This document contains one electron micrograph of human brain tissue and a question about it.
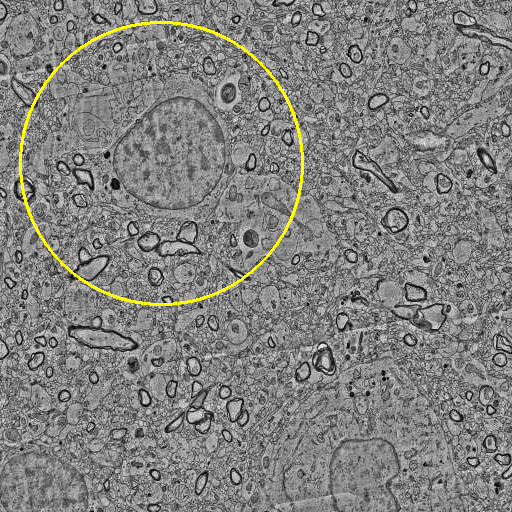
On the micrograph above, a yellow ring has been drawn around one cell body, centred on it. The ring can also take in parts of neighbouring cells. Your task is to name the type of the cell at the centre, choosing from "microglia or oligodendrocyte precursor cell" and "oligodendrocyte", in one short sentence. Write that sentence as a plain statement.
Here the ring is centred on an oligodendrocyte.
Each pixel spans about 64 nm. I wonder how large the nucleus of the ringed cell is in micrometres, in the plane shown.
Roughly 7 micrometres across, measured in this plane.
